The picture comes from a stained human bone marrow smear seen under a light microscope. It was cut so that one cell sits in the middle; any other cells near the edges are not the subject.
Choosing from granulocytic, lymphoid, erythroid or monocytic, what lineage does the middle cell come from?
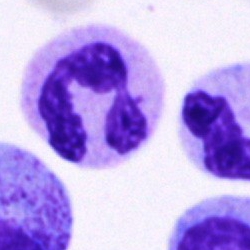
granulocytic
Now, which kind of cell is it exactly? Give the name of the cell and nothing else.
segmented neutrophil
